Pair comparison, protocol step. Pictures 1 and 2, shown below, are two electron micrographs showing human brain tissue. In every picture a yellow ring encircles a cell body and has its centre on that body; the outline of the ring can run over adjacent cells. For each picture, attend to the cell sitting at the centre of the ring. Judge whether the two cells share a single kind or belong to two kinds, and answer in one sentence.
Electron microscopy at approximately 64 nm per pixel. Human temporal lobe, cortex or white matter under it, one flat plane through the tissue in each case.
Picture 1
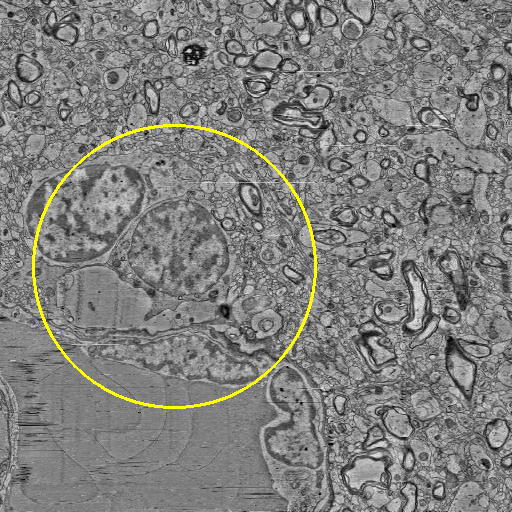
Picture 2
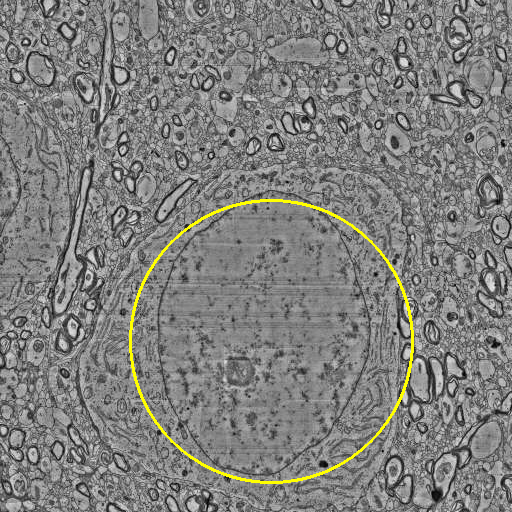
The two cells at the ring centres in Picture 1 and Picture 2 belong to two kinds.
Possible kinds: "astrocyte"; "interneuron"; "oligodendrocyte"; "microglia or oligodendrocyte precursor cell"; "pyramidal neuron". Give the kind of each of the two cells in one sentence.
The cell in the second picture is a pyramidal neuron, and that in the first is an oligodendrocyte.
